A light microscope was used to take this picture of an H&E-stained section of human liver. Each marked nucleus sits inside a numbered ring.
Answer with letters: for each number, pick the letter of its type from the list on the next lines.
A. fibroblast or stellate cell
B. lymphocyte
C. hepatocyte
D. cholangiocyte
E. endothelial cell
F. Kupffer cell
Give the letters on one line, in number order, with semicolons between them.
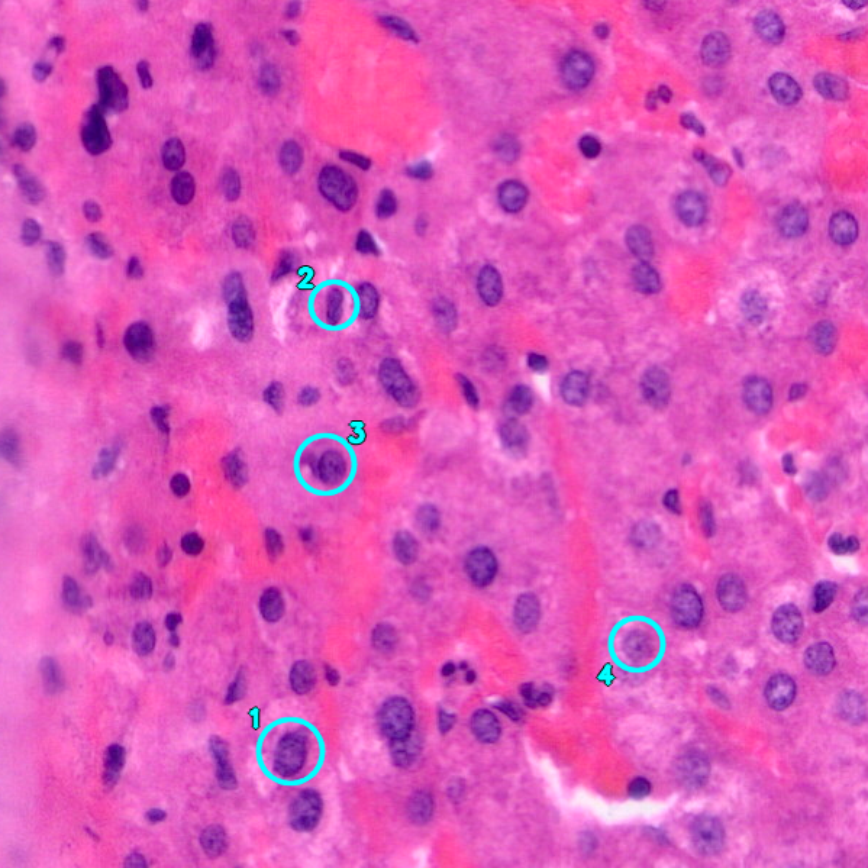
C; A; C; C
